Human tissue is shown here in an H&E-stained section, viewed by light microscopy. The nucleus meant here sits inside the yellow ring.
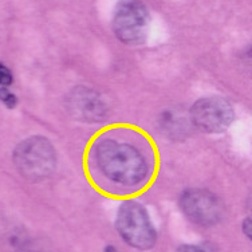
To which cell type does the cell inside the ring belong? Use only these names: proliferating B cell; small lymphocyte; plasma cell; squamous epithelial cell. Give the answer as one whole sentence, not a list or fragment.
Histopathologically, the cell inside the ring is a squamous epithelial cell.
